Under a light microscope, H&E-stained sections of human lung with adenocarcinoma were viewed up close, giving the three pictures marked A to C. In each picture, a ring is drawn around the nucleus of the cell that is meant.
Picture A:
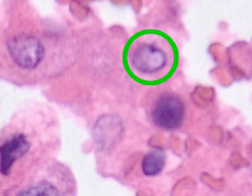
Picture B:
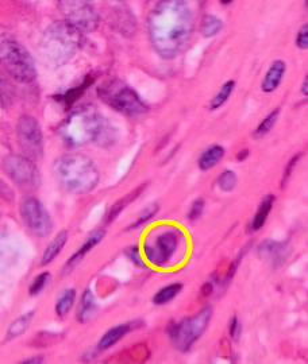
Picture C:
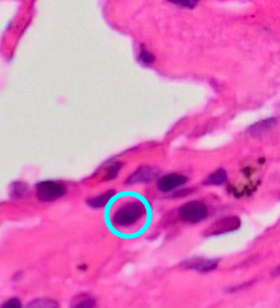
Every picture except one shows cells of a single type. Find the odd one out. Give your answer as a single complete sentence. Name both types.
Picture A differs, because its cell is a “macrophage or monocyte” and the rest are plasma cells.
